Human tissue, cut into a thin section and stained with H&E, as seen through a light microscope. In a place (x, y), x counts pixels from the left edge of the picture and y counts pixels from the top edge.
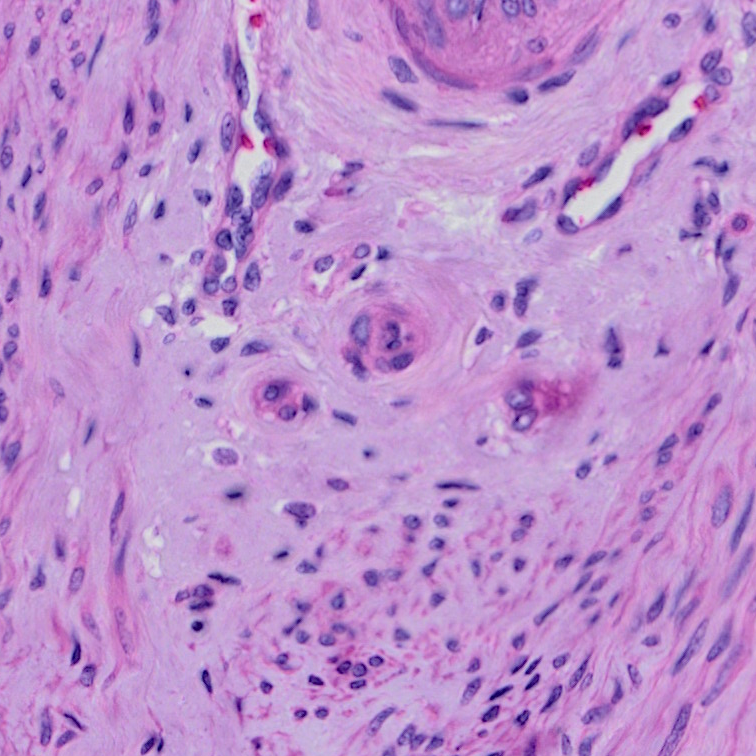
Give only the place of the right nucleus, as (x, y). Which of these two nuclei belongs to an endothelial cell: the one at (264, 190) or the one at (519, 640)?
(264, 190)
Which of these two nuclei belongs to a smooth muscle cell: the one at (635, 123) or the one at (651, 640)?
(651, 640)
